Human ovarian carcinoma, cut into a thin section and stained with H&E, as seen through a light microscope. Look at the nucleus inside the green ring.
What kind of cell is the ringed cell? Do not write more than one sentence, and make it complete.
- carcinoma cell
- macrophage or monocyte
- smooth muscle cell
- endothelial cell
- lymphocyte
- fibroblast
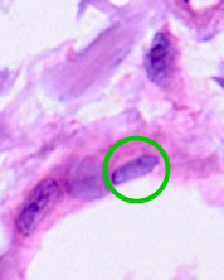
It is as an endothelial cell that the ringed cell is classified.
